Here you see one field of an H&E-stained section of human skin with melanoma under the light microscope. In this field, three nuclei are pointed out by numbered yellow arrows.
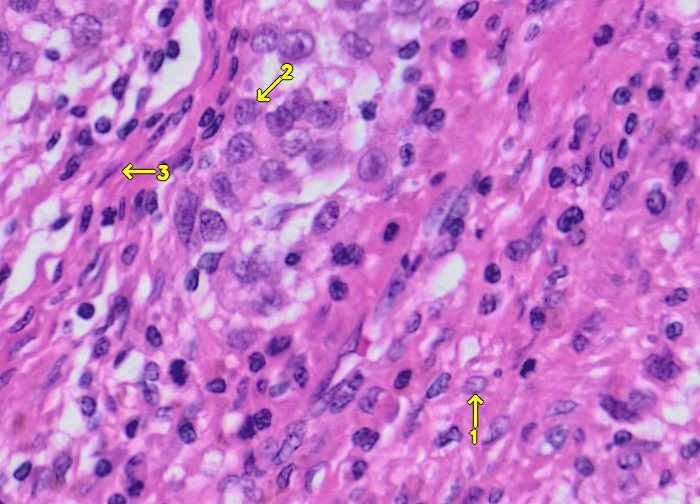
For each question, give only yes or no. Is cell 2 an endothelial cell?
no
